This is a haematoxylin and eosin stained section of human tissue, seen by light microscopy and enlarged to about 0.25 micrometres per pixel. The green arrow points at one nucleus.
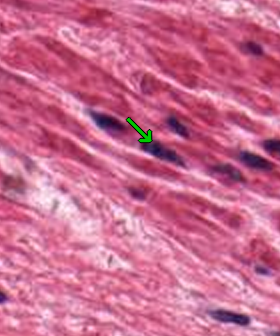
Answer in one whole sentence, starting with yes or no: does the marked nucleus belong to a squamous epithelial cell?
No, the marked nucleus is not to be assigned to a squamous epithelial cell.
